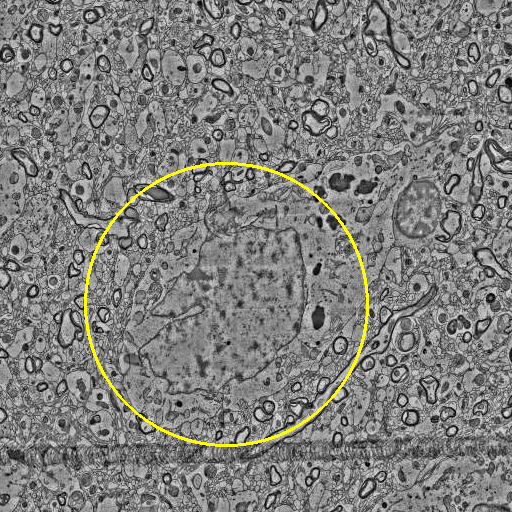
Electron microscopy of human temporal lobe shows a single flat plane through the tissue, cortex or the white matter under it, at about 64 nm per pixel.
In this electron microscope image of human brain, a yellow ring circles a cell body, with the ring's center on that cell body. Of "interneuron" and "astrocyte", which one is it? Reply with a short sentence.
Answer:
It is an interneuron at the center of the ring.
